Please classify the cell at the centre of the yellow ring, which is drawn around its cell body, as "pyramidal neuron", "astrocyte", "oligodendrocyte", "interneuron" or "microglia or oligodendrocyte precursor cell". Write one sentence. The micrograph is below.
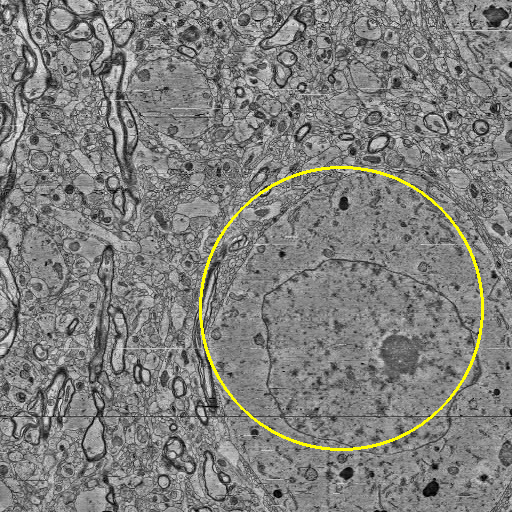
The cell at the ring's centre is classified as a pyramidal neuron.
